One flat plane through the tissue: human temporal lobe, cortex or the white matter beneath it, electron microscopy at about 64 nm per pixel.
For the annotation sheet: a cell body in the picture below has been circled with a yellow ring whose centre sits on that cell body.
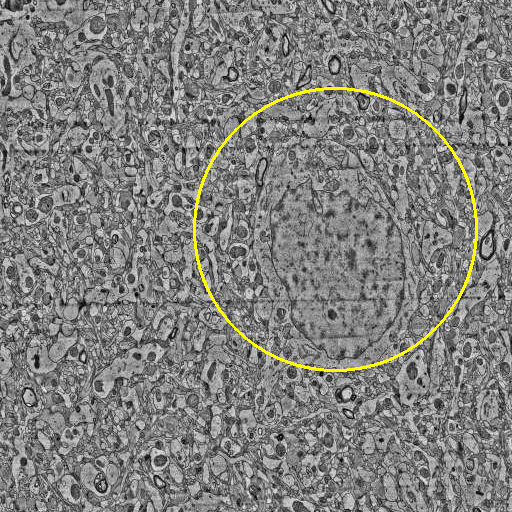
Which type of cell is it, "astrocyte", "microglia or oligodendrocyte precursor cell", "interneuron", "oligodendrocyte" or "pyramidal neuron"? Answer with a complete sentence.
The circled cell is an interneuron.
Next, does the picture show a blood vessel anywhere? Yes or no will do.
No, none is visible.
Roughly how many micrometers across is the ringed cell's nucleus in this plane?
The nucleus of the ringed cell is approximately 11 by 8 micrometres in this plane.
